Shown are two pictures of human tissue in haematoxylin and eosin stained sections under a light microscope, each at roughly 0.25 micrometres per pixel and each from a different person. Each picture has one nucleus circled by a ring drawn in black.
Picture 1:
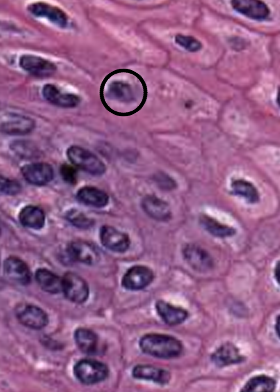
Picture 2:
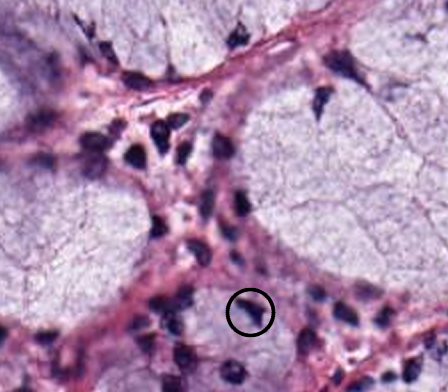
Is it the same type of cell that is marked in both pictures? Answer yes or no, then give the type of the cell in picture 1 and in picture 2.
No, the first is a squamous epithelial cell and the second a mucous gland cell.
